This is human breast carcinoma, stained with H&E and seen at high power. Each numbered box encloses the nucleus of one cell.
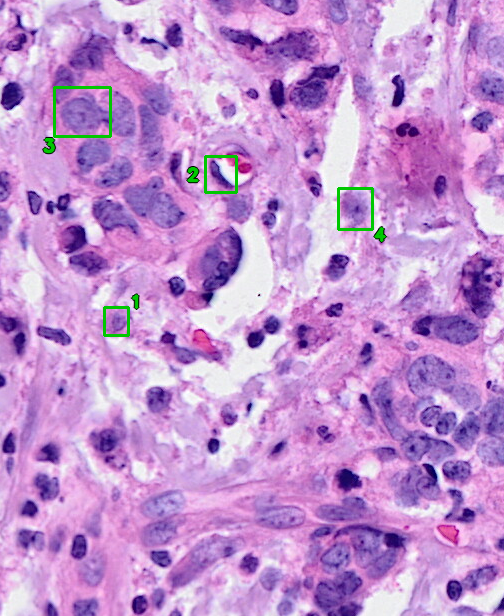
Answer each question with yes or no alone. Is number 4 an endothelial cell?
no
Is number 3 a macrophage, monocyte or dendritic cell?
no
